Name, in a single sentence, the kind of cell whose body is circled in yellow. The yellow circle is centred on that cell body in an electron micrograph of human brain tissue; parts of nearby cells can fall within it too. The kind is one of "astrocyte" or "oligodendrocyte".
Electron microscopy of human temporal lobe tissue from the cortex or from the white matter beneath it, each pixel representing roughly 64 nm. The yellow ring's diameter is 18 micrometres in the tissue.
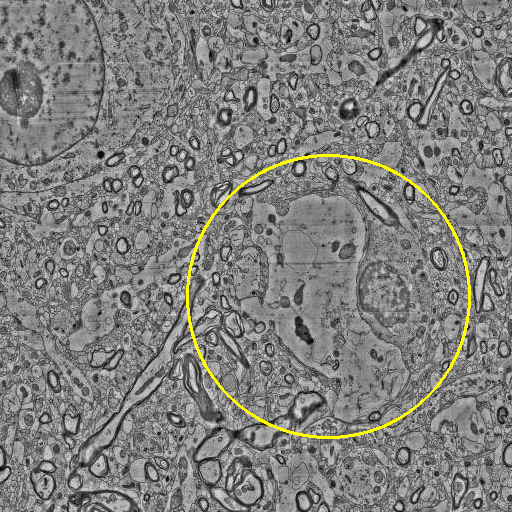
The circled cell body belongs to an astrocyte.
